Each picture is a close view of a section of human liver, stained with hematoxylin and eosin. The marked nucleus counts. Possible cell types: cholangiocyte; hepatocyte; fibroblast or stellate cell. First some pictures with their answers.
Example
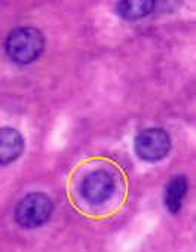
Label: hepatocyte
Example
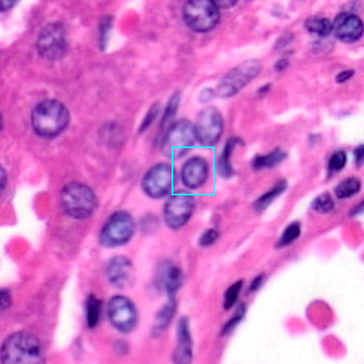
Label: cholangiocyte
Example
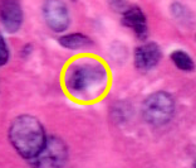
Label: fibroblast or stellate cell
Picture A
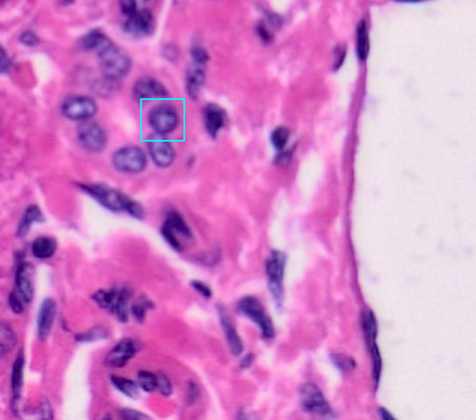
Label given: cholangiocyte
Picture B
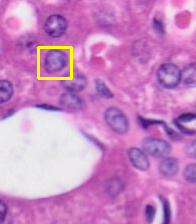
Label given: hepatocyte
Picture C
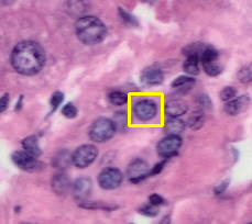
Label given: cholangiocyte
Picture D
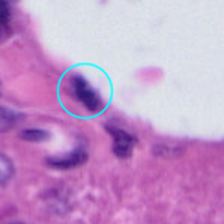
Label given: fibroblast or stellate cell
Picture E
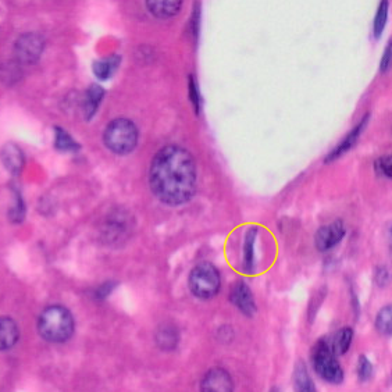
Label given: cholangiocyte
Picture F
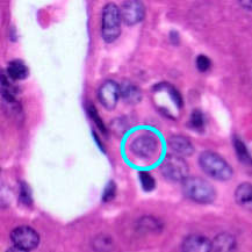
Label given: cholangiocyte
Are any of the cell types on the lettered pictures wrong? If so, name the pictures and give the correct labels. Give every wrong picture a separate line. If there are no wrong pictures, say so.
B should be cholangiocyte, not hepatocyte
E should be fibroblast or stellate cell, not cholangiocyte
